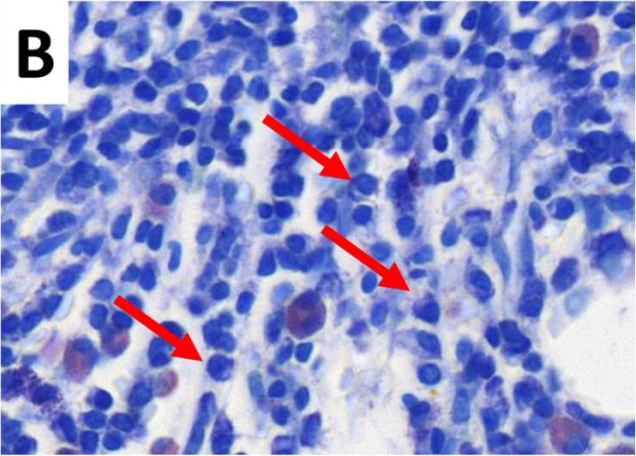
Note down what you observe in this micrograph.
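Arrows point to single plasma cells, with round nuclei placed to one side and a small rim of cytoplasm. Cells are loosely spaced with some elongated nuclei among them. A few larger cells with purplish to brownish granular cytoplasm are scattered in the field. No clear architecture beyond the loose sheets of cells.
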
